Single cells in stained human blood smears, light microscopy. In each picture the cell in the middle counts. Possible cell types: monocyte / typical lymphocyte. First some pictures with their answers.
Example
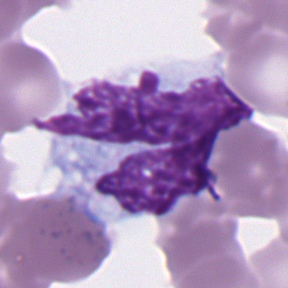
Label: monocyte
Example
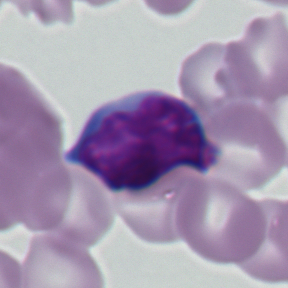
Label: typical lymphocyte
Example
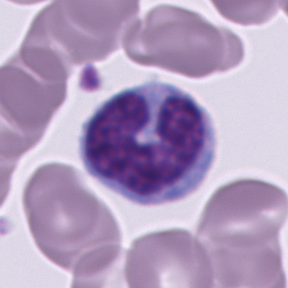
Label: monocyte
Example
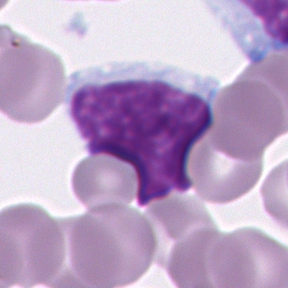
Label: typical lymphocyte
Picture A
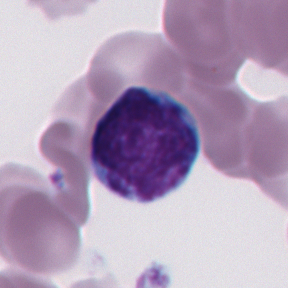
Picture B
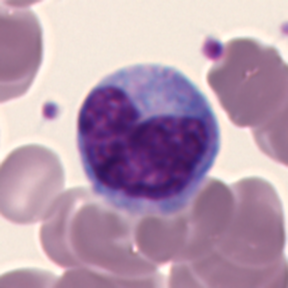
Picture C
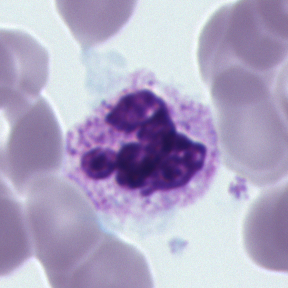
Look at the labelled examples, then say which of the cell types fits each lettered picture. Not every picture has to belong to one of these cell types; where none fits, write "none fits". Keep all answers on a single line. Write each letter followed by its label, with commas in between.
A typical lymphocyte, B monocyte, C none fits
